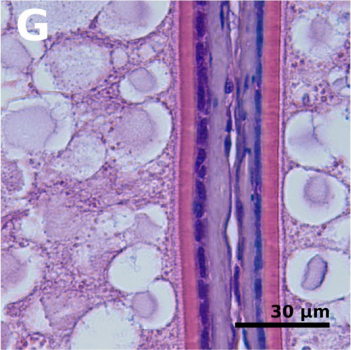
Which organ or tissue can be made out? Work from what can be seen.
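Oocyte cytoplasm is filled with large pale globules. A thick striated pink band with thin cell layers borders the oocytes.
Vitellogenic ovary.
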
